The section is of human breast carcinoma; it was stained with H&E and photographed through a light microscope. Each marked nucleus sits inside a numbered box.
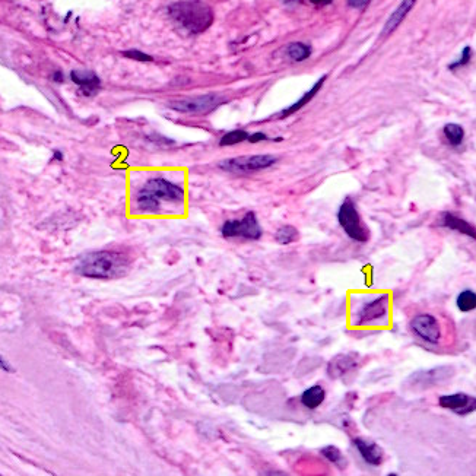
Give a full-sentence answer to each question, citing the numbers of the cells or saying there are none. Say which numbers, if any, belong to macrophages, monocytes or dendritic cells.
Cell 2 stands alone among the numbered cells as a macrophage, monocyte or dendritic cell.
